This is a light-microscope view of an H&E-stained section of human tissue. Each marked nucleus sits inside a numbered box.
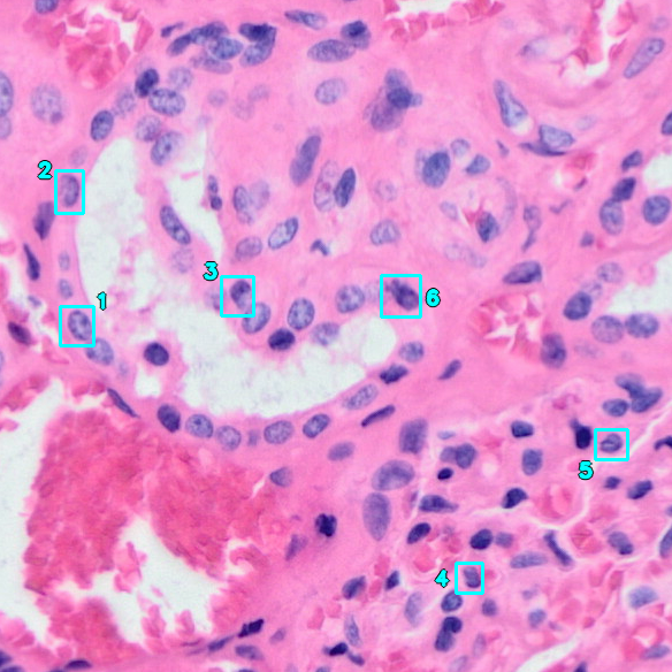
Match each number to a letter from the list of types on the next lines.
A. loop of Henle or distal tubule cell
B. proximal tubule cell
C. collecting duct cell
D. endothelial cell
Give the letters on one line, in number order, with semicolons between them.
C; C; C; D; D; C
